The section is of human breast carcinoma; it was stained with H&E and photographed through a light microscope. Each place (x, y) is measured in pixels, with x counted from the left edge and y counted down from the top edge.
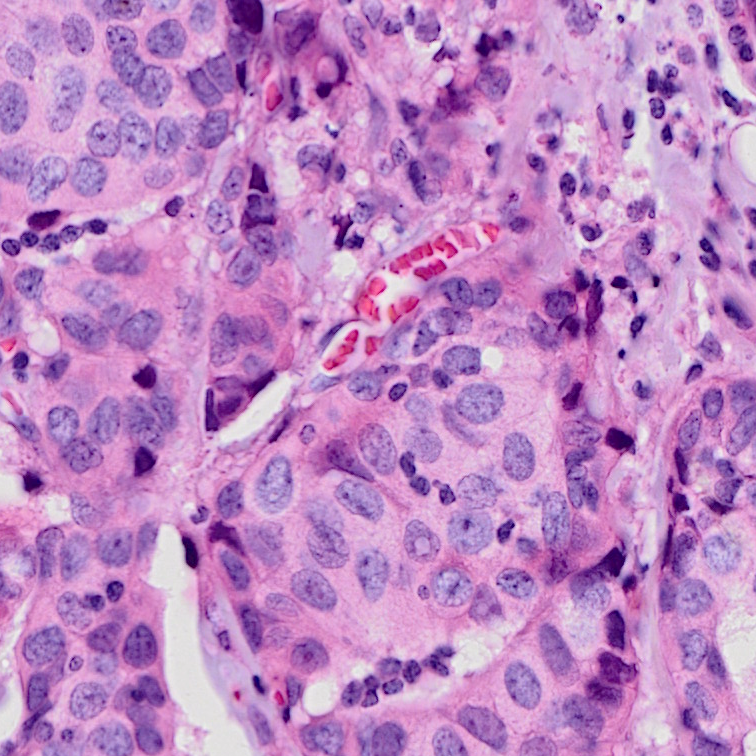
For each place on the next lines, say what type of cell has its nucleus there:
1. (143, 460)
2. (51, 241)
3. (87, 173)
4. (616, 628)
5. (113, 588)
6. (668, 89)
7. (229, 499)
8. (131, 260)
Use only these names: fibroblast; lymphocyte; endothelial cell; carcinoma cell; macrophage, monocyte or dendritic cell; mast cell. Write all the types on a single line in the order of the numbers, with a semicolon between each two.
carcinoma cell; lymphocyte; carcinoma cell; carcinoma cell; lymphocyte; lymphocyte; carcinoma cell; carcinoma cell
